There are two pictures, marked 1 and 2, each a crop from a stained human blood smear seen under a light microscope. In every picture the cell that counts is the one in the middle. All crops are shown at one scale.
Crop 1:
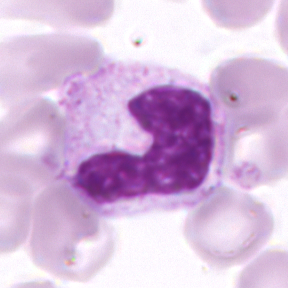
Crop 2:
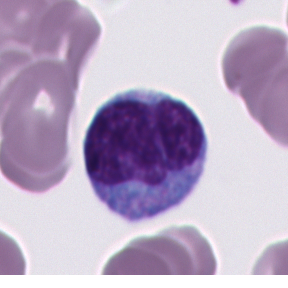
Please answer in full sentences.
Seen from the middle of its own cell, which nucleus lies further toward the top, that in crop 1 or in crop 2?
In crop 2 the nucleus is shifted more toward the top.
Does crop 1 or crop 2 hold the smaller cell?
It is the cell in crop 2; the cell in crop 1 has about 1.5 times its area.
